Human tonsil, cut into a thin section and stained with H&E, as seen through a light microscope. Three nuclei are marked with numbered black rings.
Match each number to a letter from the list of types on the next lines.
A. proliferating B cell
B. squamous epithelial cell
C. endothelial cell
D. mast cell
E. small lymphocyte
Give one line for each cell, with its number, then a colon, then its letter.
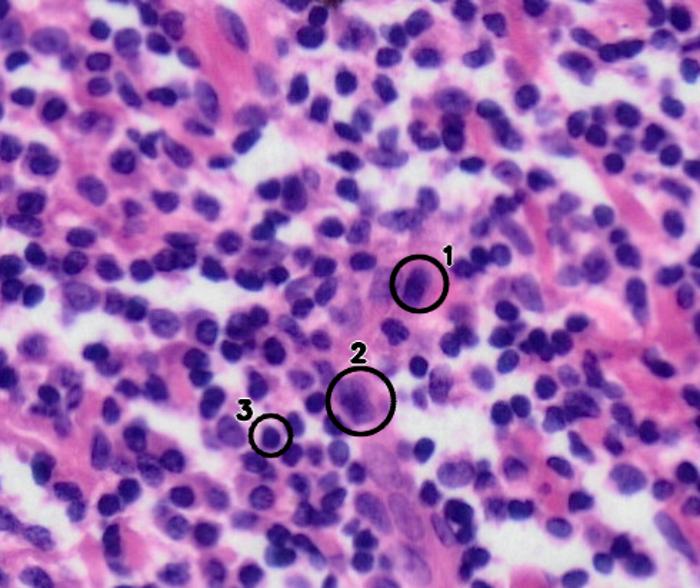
1: C
2: C
3: E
